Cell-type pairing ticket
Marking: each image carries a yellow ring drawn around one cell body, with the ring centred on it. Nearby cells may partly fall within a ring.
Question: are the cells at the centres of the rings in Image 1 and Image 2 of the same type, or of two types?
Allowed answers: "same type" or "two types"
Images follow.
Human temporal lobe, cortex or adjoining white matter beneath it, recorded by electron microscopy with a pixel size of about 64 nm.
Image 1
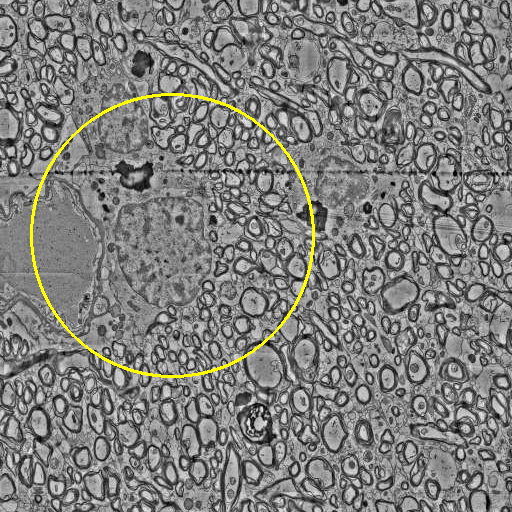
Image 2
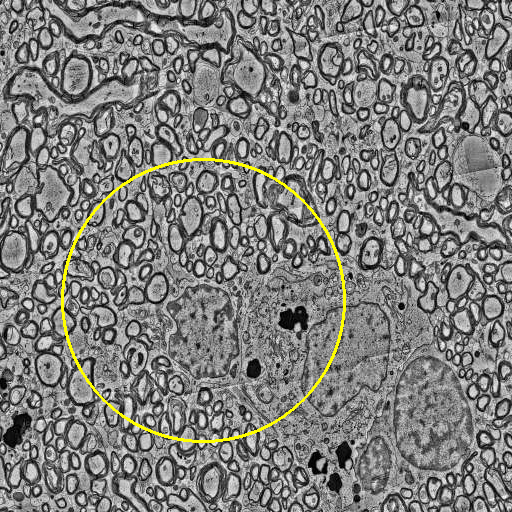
two types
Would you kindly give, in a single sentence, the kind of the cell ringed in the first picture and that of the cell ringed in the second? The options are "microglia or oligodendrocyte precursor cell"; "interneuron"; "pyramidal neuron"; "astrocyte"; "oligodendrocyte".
The second cell is a microglial cell or oligodendrocyte precursor cell, and the first cell is an oligodendrocyte.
